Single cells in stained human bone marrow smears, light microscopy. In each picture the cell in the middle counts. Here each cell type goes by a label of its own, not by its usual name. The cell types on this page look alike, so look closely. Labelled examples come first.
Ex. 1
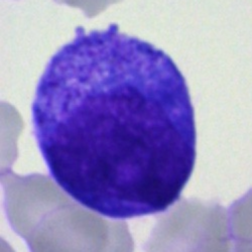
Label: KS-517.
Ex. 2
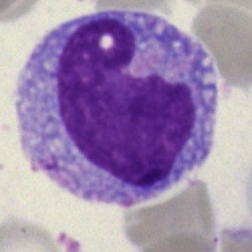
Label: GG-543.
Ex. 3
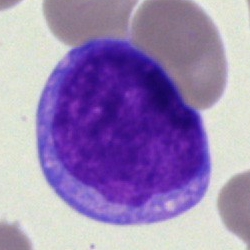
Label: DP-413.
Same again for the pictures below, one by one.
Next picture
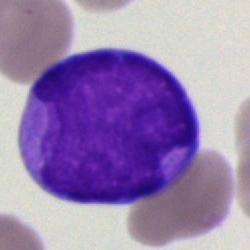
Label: DP-413.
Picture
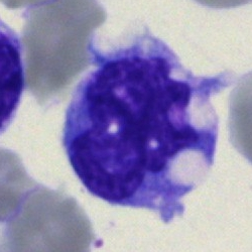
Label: GG-543.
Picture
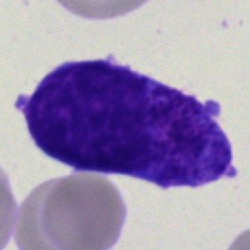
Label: DP-413.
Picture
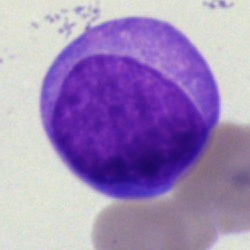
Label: DP-413.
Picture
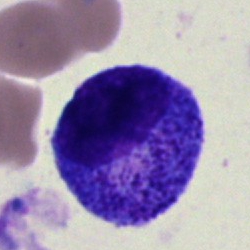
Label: KS-517.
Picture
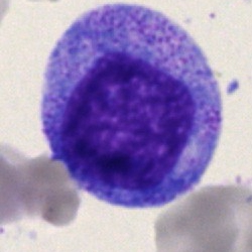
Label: KS-517.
